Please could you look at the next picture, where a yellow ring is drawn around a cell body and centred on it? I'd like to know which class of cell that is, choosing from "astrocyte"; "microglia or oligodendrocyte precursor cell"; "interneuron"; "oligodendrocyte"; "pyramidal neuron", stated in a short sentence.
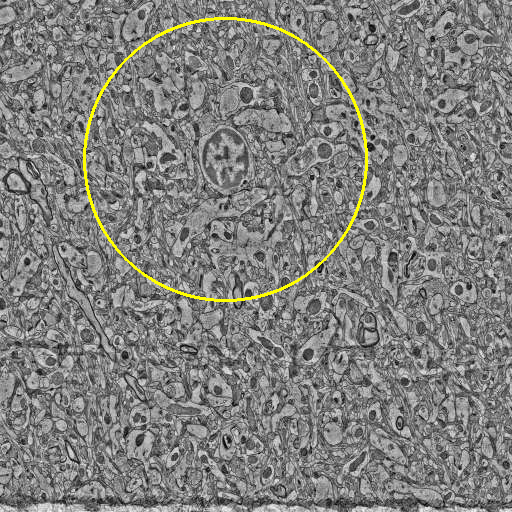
The ring's centre lies on a microglial cell or oligodendrocyte precursor cell.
